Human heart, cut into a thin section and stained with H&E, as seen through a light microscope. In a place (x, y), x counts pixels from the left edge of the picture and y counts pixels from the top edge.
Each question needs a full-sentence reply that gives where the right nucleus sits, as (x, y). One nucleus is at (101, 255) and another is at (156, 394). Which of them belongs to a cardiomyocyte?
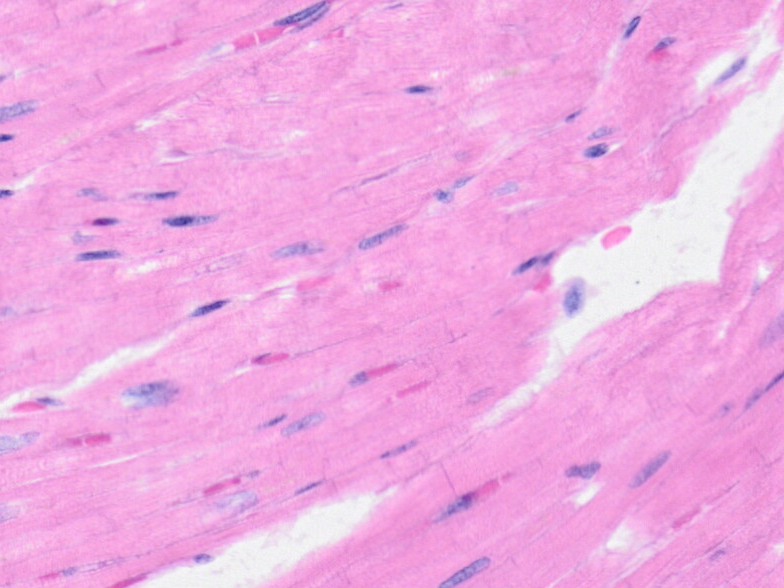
The nucleus at (156, 394) belongs to a cardiomyocyte, which distinguishes it from the other nucleus.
